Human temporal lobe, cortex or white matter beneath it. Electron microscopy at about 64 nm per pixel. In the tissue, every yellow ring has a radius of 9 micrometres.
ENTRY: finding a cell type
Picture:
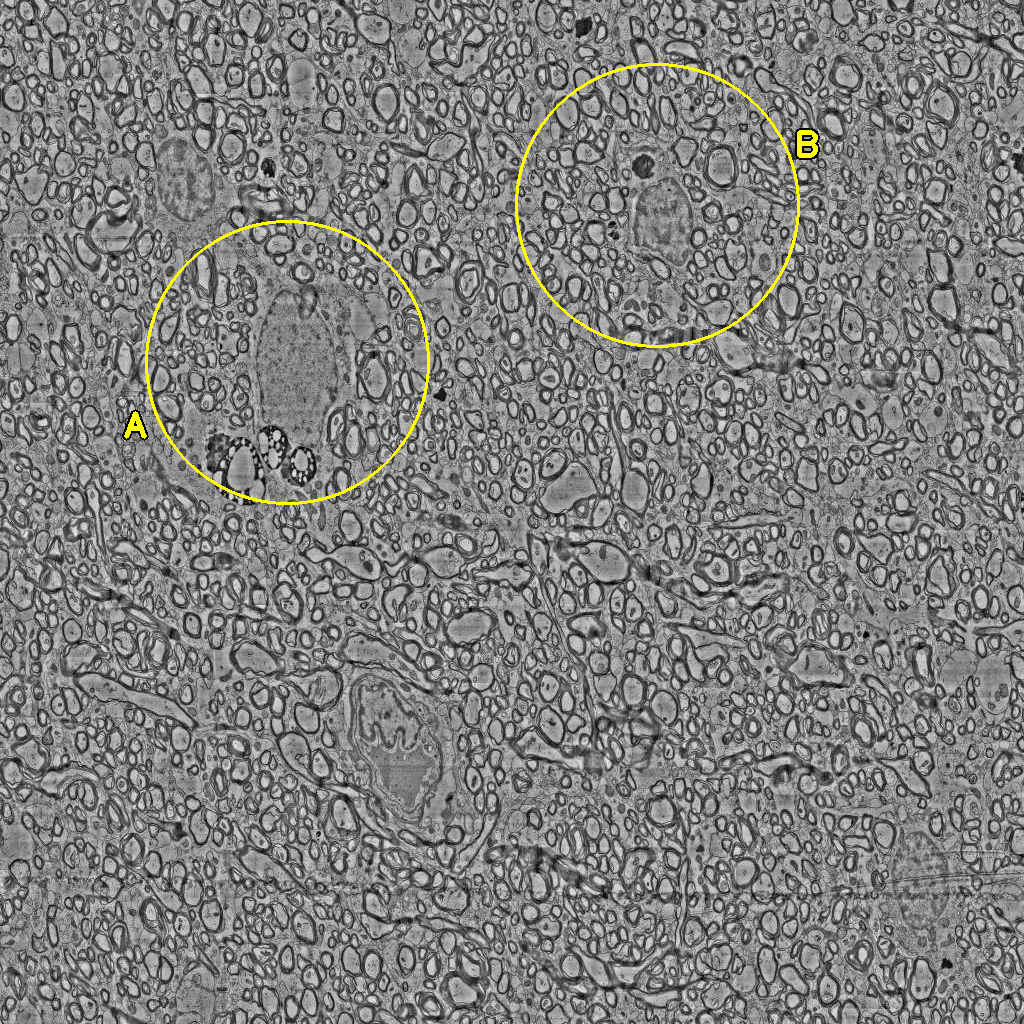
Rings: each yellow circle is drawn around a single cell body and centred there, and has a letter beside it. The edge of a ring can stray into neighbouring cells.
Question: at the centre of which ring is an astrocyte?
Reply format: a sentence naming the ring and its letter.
The answer is ring A, the one centred on the cell asked for.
